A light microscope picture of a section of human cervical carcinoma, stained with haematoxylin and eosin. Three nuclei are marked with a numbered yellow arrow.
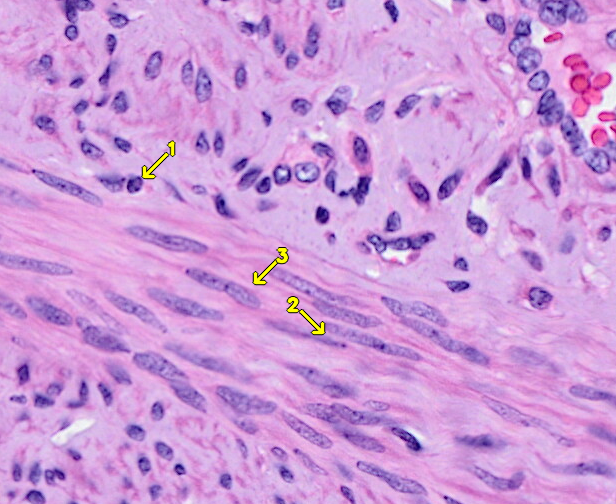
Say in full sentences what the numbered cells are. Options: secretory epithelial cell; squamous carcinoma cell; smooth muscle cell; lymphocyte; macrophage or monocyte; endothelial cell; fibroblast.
Cell 1 is a lymphocyte. Cells 2 and 3 are smooth muscle cells.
